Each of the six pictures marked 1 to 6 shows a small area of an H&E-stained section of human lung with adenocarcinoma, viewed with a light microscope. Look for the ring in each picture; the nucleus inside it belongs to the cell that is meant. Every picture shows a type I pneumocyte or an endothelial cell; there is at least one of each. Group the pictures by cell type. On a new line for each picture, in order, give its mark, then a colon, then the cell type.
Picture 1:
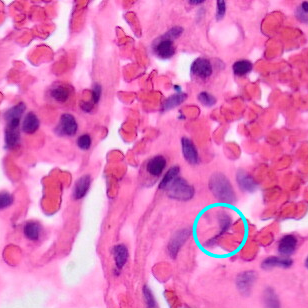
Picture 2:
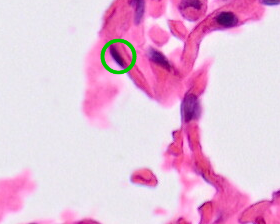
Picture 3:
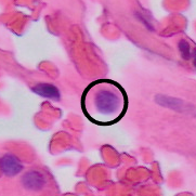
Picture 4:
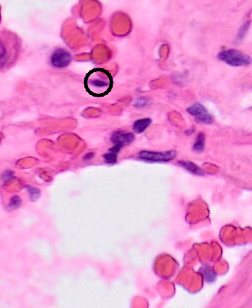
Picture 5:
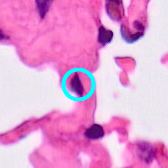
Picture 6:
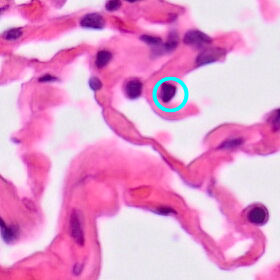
1: endothelial cell
2: endothelial cell
3: type I pneumocyte
4: endothelial cell
5: endothelial cell
6: type I pneumocyte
